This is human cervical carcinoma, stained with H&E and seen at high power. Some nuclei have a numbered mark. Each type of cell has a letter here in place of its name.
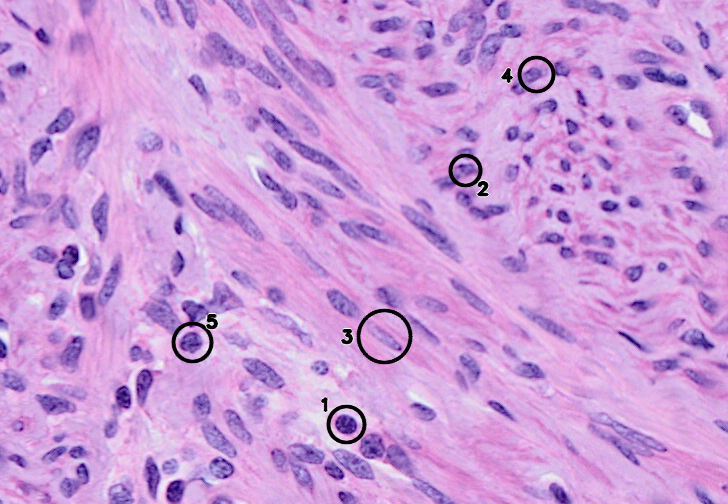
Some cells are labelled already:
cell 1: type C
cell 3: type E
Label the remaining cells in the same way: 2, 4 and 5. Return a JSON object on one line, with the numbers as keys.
{"2": "type E", "4": "type E", "5": "type C"}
